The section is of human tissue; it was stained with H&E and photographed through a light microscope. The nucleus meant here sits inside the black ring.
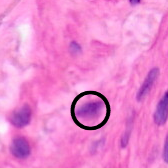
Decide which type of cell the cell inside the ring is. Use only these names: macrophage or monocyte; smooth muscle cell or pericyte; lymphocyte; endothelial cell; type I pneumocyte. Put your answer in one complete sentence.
This is a smooth muscle cell or pericyte.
